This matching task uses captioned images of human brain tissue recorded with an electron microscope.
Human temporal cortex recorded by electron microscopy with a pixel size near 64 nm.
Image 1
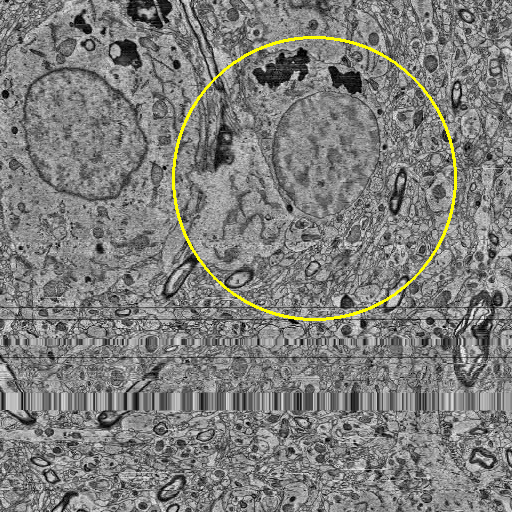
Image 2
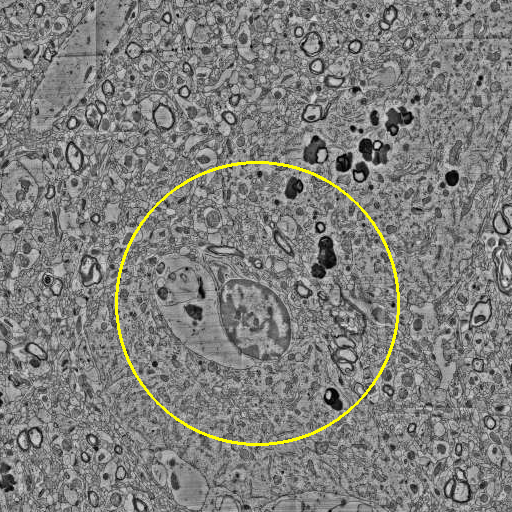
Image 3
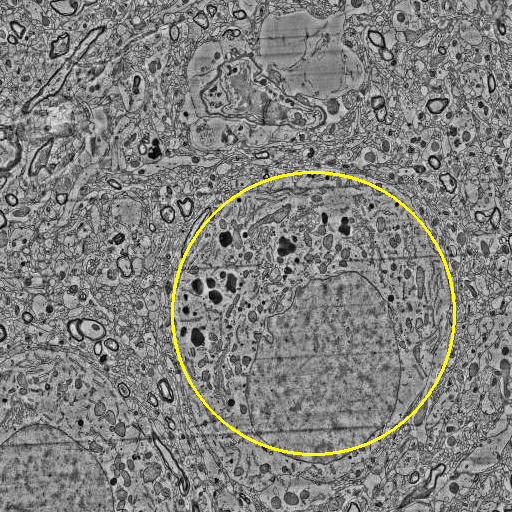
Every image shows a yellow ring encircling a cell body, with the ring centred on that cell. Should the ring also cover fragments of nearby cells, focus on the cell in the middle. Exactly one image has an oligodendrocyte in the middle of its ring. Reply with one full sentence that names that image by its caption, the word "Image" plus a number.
Image 1 shows the cell in question at the centre of its yellow ring.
